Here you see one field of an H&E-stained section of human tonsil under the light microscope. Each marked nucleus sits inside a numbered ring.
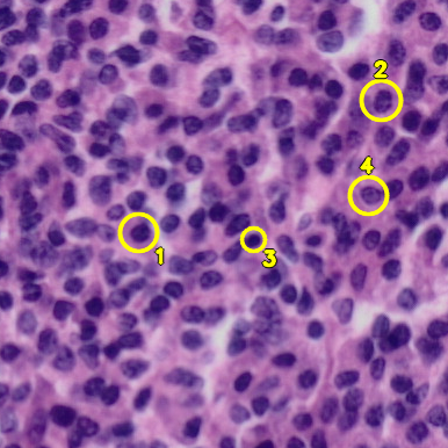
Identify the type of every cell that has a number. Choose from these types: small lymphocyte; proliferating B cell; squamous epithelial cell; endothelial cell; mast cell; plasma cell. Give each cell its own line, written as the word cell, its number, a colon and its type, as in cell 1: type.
cell 1: plasma cell
cell 2: plasma cell
cell 3: small lymphocyte
cell 4: plasma cell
